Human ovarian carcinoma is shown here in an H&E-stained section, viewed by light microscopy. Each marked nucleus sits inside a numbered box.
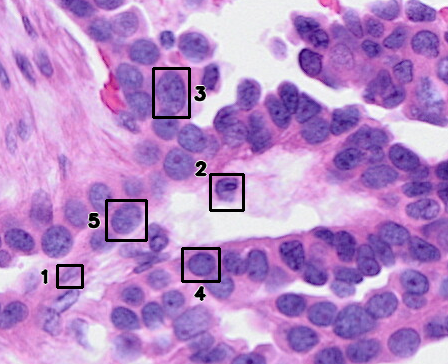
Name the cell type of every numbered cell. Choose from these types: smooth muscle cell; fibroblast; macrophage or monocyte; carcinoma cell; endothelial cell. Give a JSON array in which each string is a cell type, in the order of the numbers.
["fibroblast", "macrophage or monocyte", "carcinoma cell", "carcinoma cell", "carcinoma cell"]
